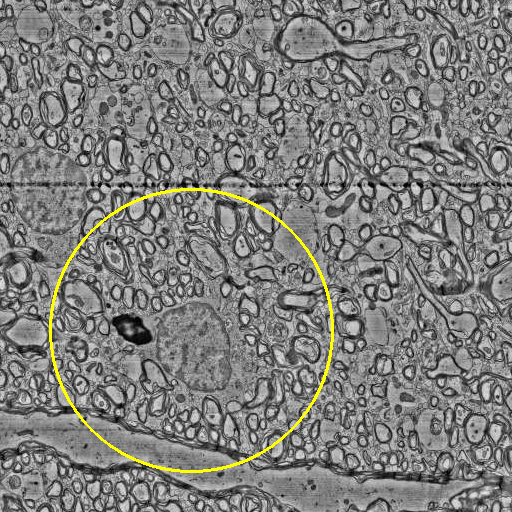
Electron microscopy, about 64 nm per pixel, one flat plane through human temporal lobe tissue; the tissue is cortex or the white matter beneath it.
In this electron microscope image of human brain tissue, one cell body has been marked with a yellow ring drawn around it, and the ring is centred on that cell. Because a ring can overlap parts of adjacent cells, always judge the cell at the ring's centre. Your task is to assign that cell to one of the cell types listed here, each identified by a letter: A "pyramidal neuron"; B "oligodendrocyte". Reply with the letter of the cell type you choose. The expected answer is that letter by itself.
B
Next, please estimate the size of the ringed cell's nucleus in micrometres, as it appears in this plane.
The nucleus is approximately 6 micrometers long by 5 micrometers wide in this plane.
